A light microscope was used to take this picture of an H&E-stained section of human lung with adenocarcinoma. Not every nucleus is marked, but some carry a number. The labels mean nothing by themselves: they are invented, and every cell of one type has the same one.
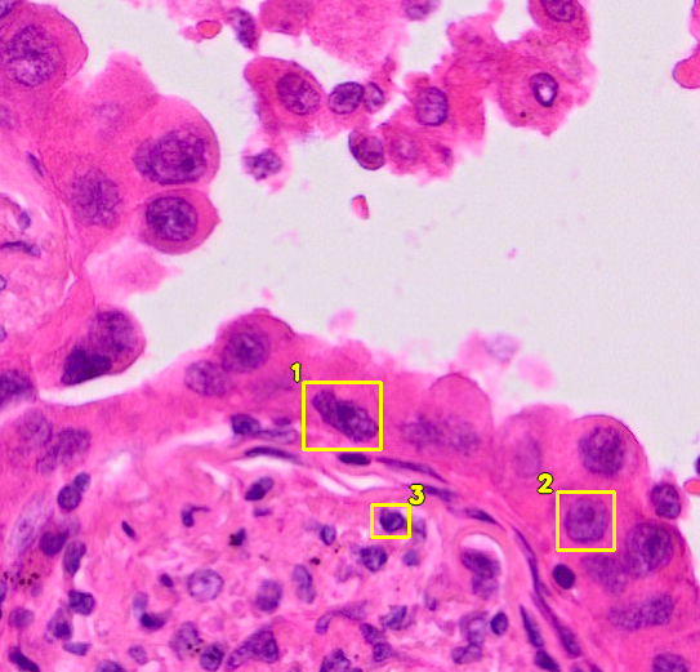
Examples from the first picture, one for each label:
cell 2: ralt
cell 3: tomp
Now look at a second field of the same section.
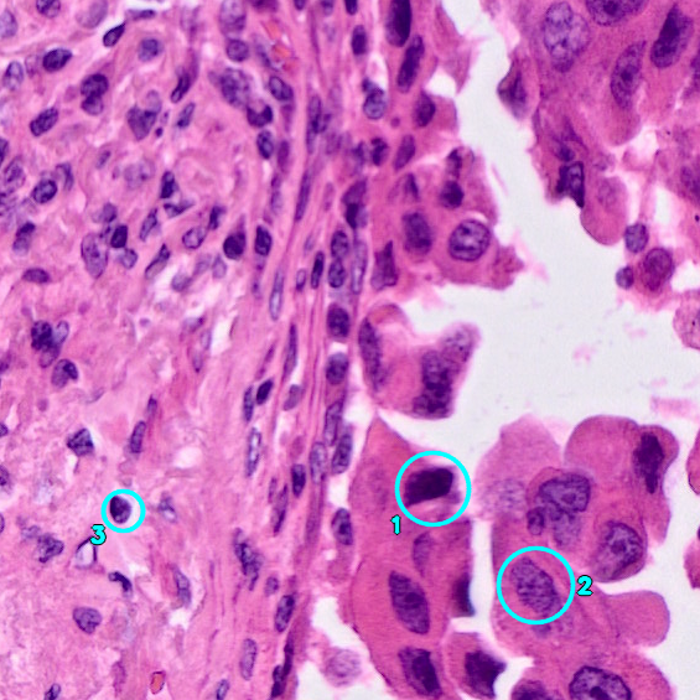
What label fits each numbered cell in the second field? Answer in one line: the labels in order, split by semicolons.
ralt; ralt; tomp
